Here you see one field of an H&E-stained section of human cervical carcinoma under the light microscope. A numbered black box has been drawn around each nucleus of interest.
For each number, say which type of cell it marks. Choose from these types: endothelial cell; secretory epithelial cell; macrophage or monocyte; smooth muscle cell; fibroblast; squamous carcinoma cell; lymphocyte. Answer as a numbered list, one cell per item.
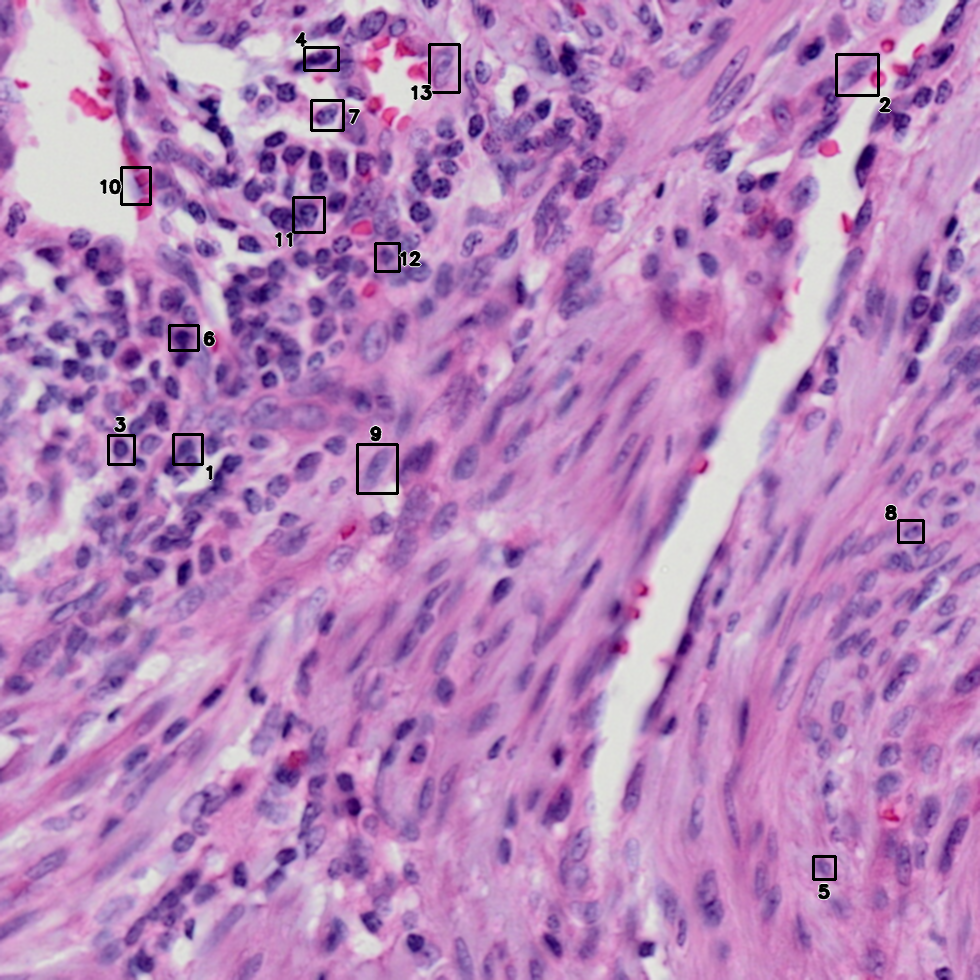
1. lymphocyte
2. endothelial cell
3. lymphocyte
4. lymphocyte
5. smooth muscle cell
6. lymphocyte
7. lymphocyte
8. smooth muscle cell
9. fibroblast
10. endothelial cell
11. lymphocyte
12. endothelial cell
13. endothelial cell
